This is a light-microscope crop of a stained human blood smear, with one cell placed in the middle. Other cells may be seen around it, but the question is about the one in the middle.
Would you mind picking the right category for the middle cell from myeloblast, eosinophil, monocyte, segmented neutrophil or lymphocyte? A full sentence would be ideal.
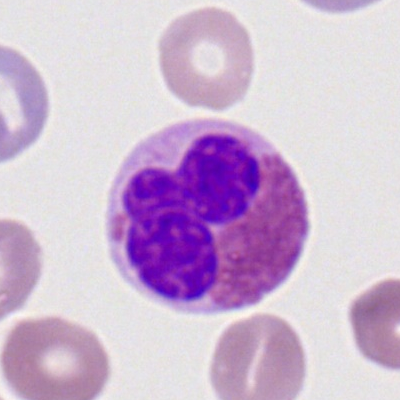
The cell around which this crop is centred is an eosinophil.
